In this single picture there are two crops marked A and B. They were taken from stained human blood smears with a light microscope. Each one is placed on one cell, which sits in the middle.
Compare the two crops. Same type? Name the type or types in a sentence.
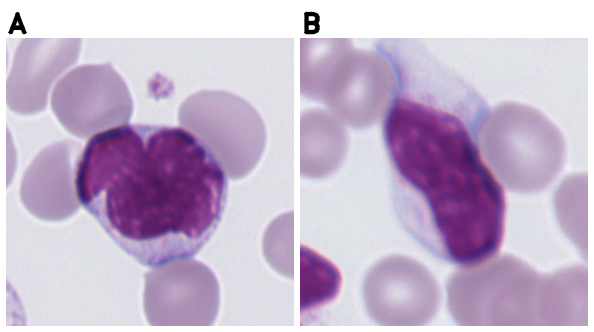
Yes, the two cells in the two crops are large granular lymphocytes.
